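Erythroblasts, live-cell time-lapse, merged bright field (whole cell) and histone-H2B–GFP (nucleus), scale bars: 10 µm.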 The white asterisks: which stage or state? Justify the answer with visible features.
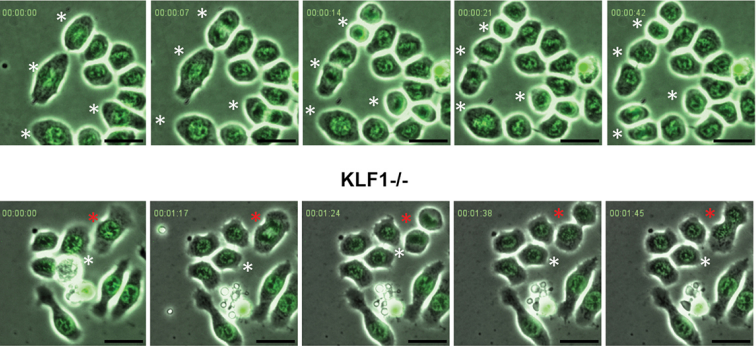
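Marked cells form pairs of rounded daughter cells that come apart across the successive frames.
Conclusion: completed cytokinesis events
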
